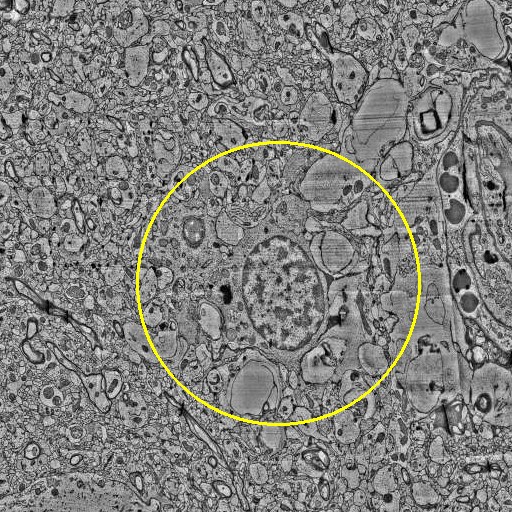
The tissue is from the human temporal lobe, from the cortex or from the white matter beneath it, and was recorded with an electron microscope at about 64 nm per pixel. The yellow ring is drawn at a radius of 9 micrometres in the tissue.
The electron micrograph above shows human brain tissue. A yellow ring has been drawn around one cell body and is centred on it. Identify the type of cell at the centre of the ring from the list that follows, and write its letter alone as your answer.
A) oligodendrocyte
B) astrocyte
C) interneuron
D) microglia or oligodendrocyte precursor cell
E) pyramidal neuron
A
